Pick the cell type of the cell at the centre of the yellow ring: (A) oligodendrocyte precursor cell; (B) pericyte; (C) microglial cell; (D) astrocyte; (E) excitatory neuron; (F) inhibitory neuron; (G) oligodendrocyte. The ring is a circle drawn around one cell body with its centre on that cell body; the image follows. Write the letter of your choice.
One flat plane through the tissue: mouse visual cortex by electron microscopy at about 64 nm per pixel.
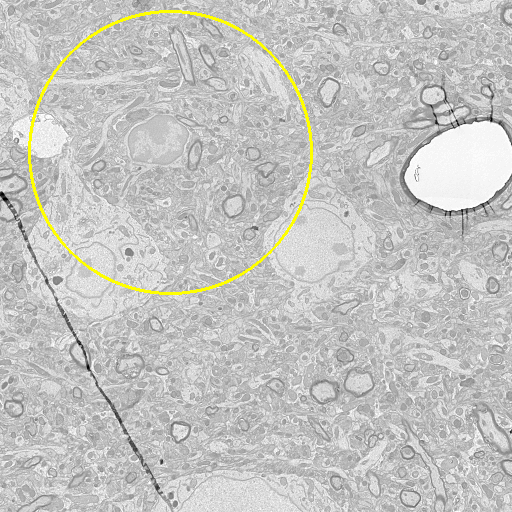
C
